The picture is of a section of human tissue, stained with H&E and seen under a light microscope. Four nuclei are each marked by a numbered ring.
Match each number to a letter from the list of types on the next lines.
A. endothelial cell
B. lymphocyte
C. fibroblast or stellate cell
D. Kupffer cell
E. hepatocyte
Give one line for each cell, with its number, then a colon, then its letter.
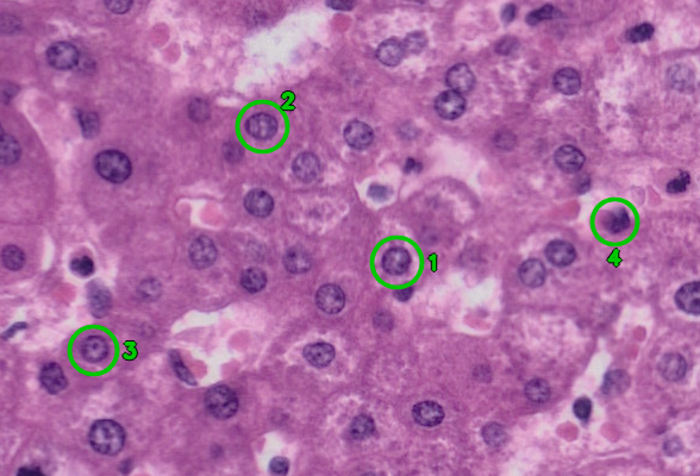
1: E
2: E
3: E
4: A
